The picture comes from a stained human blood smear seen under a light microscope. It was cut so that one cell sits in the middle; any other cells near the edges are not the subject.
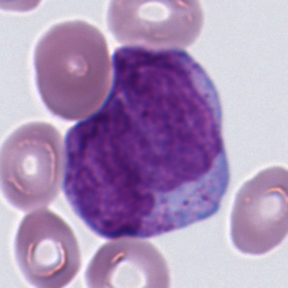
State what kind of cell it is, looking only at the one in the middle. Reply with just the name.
atypical promyelocyte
